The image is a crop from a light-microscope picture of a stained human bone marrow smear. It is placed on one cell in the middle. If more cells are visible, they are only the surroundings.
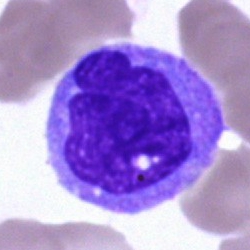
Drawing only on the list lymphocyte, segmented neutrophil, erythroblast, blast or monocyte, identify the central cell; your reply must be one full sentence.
The centrally located cell in the crop is a monocyte.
